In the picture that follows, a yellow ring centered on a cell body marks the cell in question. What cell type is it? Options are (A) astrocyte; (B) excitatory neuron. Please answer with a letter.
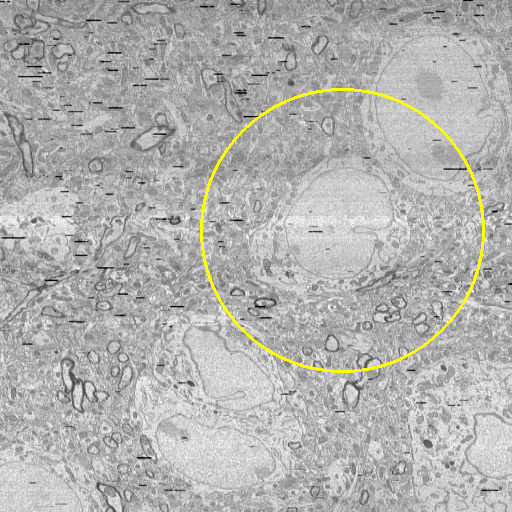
B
